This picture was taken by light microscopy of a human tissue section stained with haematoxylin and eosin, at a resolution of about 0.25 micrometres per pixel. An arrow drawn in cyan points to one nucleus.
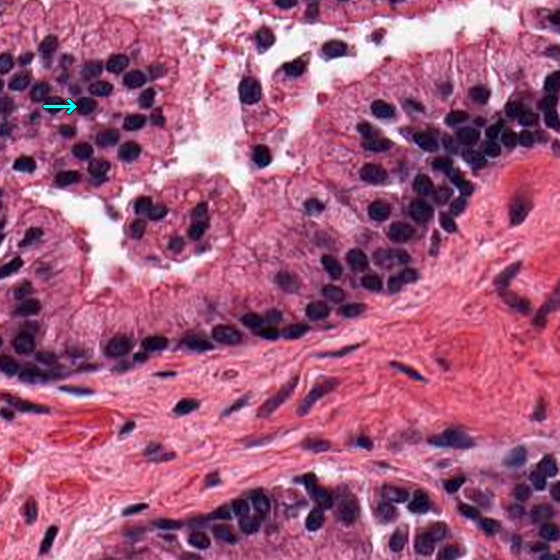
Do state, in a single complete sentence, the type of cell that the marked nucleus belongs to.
The cell that the marked nucleus belongs to is a prostate gland luminal cell.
